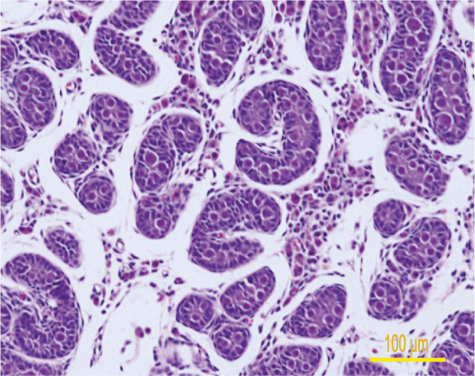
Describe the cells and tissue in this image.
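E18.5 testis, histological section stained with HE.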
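The tubules are solid cords of purple-stained cells without an open lumen. Large round germ cells with pale cytoplasm lie within the cords among smaller cells with darker nuclei at the periphery. Scattered cells and pink-red material occupy the interstitium between the tubules.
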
